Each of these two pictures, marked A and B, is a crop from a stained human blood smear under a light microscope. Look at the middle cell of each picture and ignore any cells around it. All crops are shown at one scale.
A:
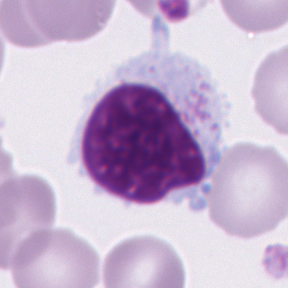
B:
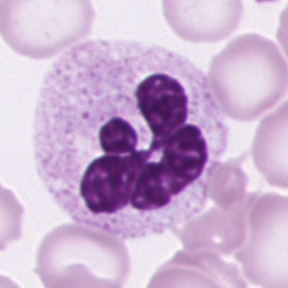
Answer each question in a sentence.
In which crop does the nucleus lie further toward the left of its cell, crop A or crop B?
In crop A the nucleus is shifted more toward the left.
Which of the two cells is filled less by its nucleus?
In crop B the nucleus takes up the smaller part of its cell.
